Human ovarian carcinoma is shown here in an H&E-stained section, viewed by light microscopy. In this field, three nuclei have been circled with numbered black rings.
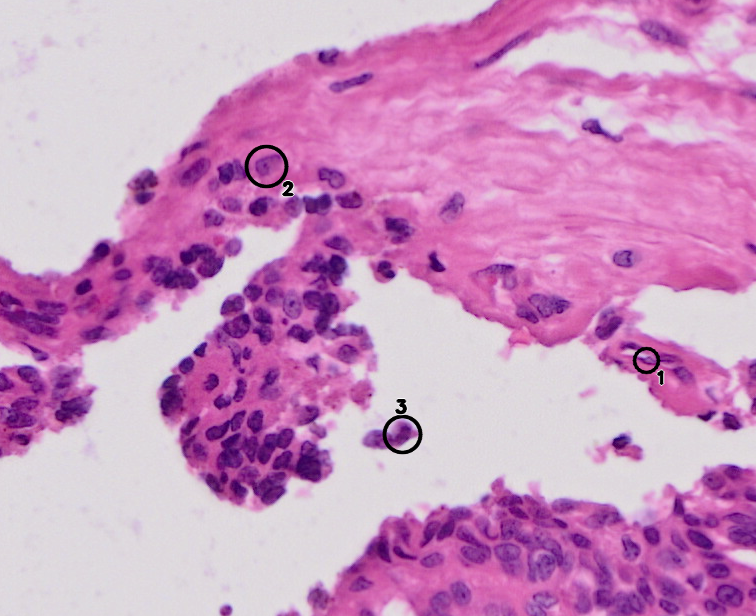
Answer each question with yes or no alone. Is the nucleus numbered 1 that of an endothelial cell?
yes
